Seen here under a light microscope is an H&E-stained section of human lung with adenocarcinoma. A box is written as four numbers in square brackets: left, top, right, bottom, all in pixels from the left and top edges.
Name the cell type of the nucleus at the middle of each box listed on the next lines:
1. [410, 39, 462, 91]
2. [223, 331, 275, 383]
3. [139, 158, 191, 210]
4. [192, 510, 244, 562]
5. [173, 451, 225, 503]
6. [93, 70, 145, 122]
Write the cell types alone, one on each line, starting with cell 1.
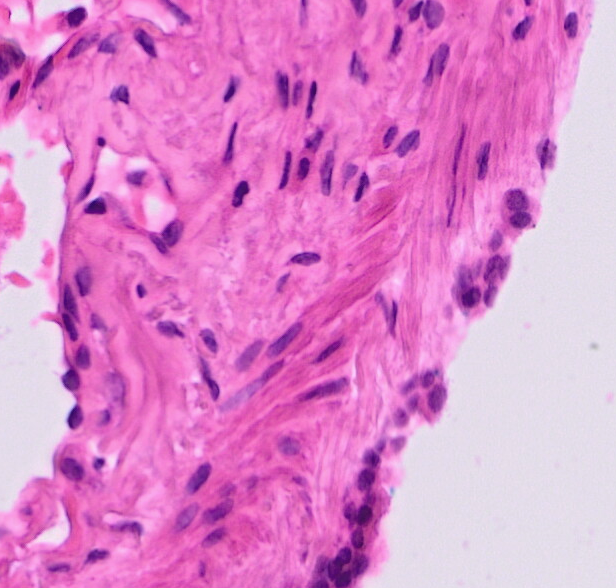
fibroblast
smooth muscle cell or pericyte
endothelial cell
smooth muscle cell or pericyte
smooth muscle cell or pericyte
fibroblast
